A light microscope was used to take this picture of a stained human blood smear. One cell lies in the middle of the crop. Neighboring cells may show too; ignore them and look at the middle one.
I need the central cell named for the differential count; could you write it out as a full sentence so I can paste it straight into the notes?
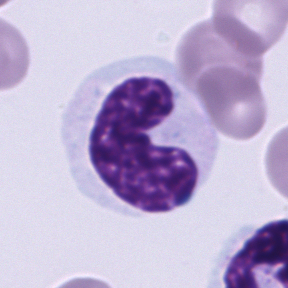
This particular crop is centered on a band neutrophil.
